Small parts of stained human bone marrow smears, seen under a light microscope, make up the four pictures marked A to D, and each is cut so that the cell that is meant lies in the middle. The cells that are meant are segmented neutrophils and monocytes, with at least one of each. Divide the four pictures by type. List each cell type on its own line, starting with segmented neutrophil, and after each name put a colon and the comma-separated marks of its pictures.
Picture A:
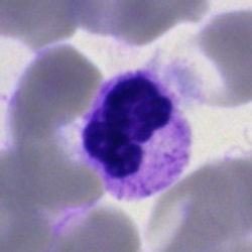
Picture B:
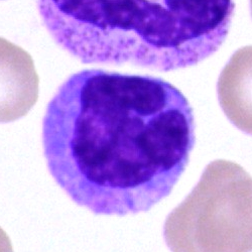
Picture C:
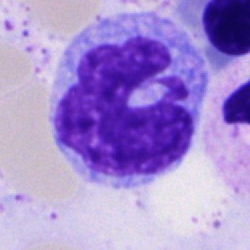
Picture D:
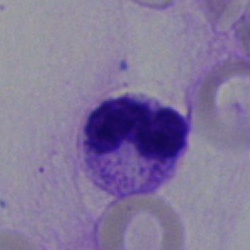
segmented neutrophil: A, D
monocyte: B, C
